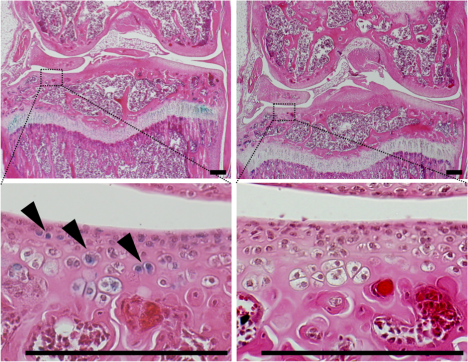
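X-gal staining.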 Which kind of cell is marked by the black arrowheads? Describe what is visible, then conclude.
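The arrowheads point to rounded cells lying in lacunae just beneath the joint surface. The cells sit singly or in pairs within a pink cartilage matrix. The marked cells carry small blue deposits. The answer: articular chondrocytes.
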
